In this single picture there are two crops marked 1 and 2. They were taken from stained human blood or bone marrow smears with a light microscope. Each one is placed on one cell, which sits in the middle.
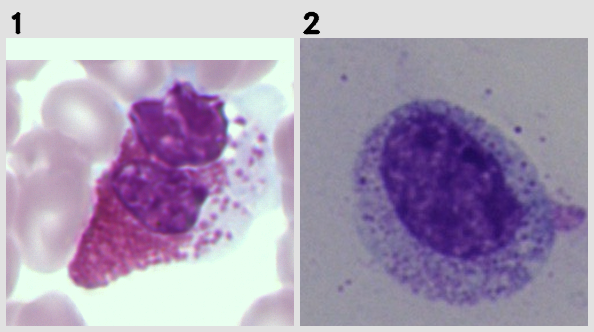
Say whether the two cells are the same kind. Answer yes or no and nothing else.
no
